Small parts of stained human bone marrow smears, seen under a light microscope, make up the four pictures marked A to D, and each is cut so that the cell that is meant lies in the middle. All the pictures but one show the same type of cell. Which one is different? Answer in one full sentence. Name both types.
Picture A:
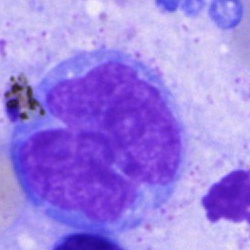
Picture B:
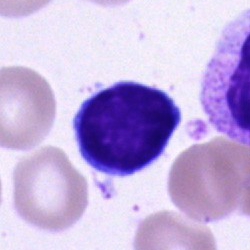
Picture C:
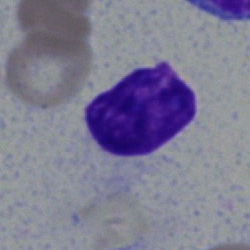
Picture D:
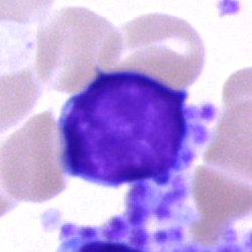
The different one is picture A; it shows a monocyte, whereas all the others show lymphocytes.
